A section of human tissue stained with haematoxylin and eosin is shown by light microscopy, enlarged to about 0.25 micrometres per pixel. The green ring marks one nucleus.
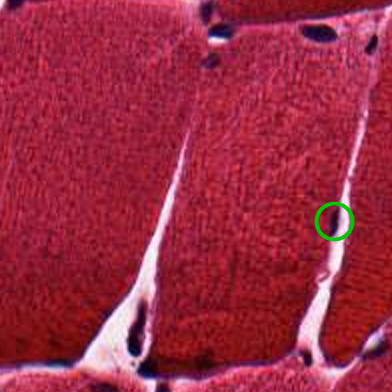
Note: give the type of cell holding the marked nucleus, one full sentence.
The mark identifies the nucleus of a skeletal muscle fibre.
